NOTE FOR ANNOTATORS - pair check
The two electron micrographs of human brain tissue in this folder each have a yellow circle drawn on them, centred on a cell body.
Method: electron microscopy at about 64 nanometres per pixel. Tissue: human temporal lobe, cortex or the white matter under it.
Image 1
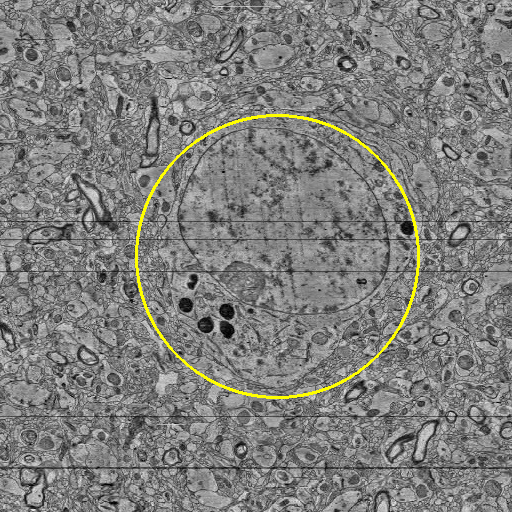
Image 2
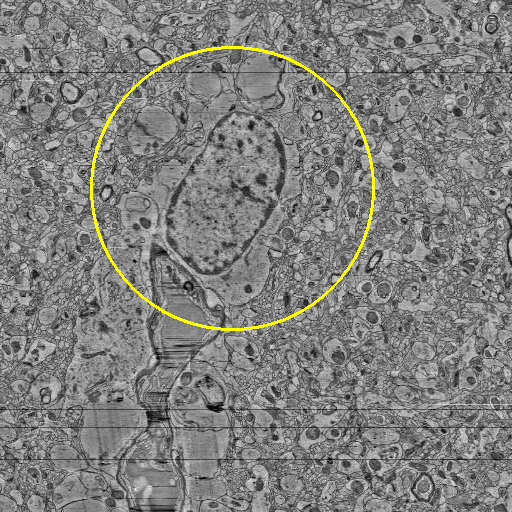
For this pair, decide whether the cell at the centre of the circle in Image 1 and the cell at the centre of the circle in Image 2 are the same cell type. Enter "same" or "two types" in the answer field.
two types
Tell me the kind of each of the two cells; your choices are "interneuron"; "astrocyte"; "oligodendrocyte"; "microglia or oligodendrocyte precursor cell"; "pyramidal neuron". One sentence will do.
The ringed cell is a pyramidal neuron in the first picture and a microglial cell or oligodendrocyte precursor cell in the second picture.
